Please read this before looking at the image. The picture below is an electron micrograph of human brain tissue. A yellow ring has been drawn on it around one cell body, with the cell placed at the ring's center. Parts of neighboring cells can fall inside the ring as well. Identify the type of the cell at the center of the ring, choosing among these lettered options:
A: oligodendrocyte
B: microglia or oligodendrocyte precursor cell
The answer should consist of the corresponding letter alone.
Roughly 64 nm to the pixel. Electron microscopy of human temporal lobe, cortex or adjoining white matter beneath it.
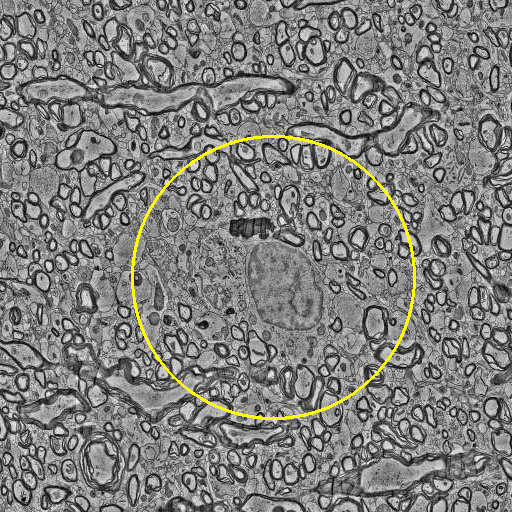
A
